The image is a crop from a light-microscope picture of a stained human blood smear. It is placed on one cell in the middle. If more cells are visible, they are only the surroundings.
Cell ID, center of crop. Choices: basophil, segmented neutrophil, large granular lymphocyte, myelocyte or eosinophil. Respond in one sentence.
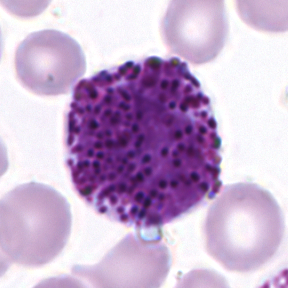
The crop shows a basophil in its centre.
